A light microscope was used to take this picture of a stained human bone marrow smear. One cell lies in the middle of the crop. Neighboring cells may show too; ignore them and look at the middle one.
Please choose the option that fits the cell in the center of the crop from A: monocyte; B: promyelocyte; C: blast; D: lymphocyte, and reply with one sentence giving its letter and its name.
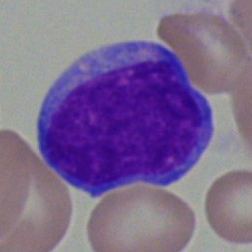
The middle of the crop contains a blast, so option C is right.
